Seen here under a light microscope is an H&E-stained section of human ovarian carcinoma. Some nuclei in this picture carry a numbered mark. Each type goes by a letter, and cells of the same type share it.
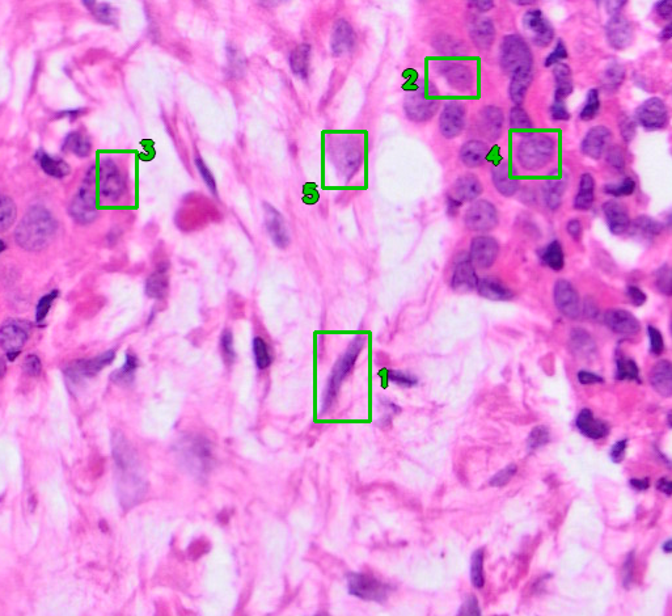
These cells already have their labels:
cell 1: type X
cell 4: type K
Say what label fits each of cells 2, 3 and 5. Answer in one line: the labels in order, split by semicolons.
type K; type K; type X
